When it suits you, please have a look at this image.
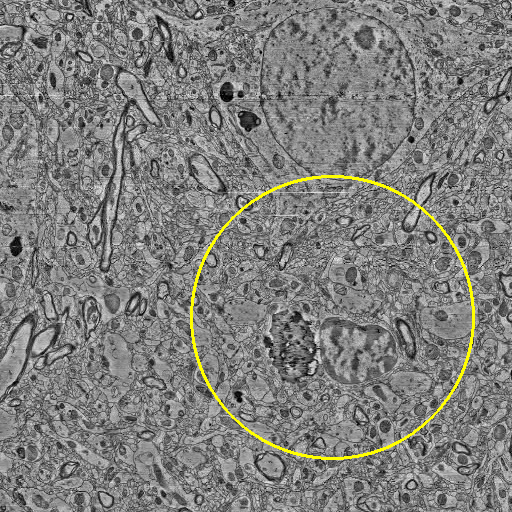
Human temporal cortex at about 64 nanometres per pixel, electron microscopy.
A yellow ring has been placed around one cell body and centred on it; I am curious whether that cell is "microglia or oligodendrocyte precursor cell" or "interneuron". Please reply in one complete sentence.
The ringed cell, a microglial cell or oligodendrocyte precursor cell, has its body at the centre of the yellow ring.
